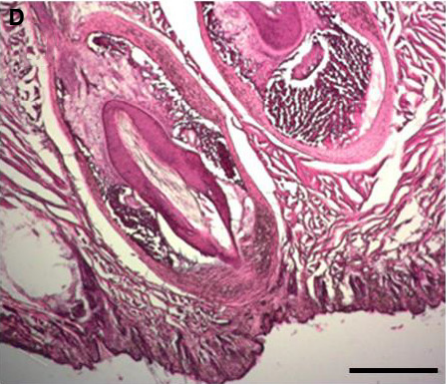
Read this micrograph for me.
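This section of the whisker pad shows follicle‐sinus complexes of the large whiskers, cut longitudinally and obliquely. Each follicle is an elongated structure wrapped in a thick, pink-staining capsule. Inside the capsule, a central hair shaft with its sheaths is surrounded by a space crossed by a dark, lacy meshwork of trabeculae. The follicles lie close together, embedded in surrounding connective tissue made of strands of pink fibers. At the lower edge, the surface lining of the skin is visible.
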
